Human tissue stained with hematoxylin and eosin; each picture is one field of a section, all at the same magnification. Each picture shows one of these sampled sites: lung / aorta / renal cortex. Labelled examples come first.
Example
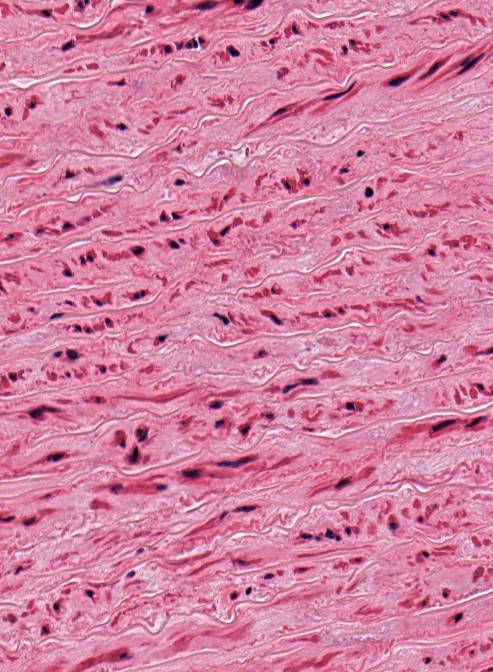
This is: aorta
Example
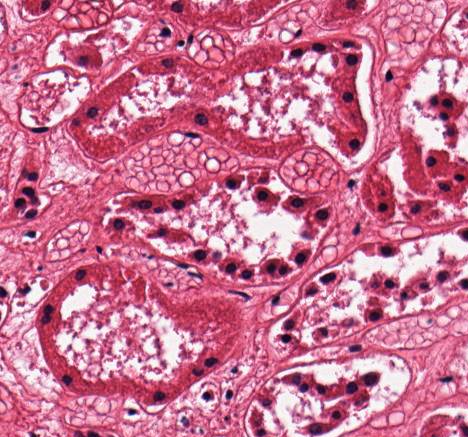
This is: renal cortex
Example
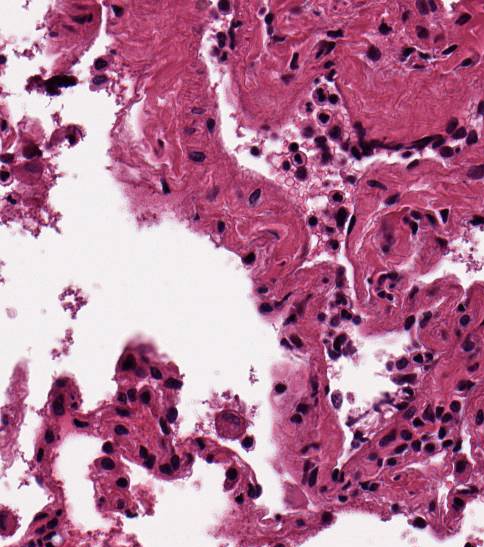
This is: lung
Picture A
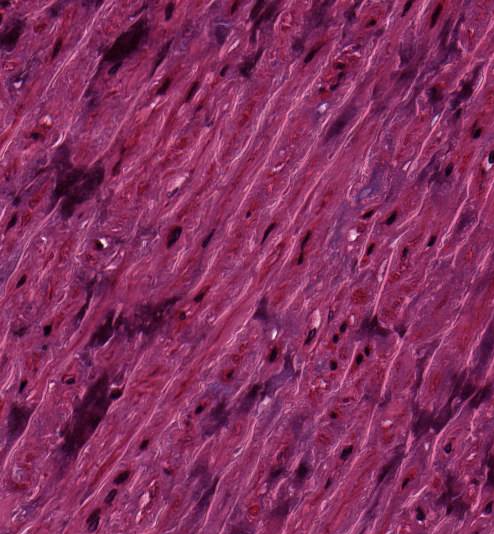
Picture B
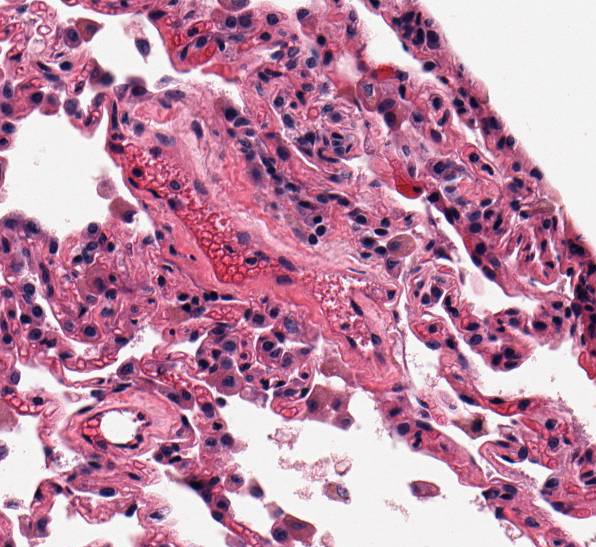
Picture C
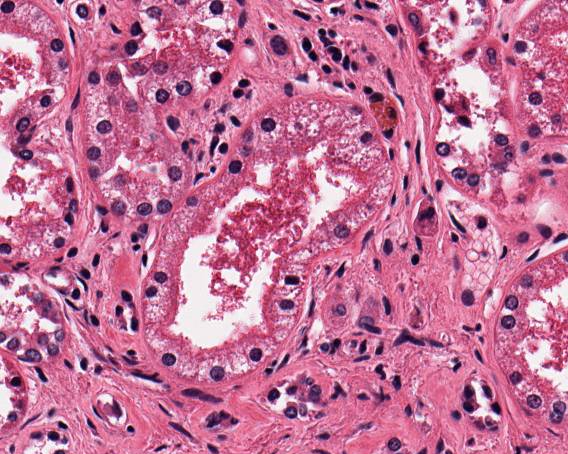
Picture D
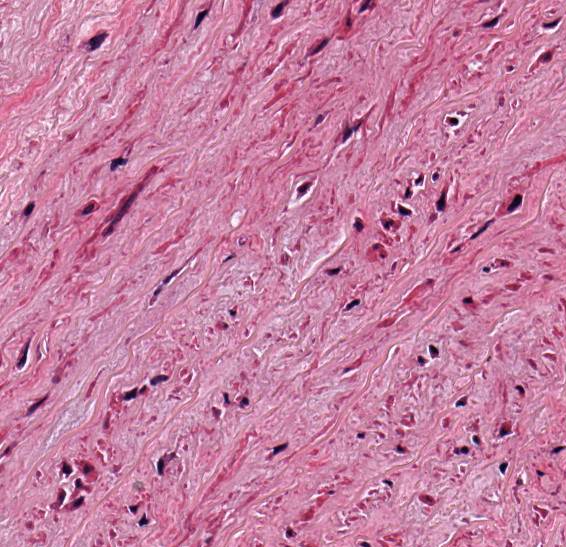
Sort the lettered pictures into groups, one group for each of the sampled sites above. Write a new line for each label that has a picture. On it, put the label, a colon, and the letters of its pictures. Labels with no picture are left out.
lung: B
aorta: A, D
renal cortex: C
